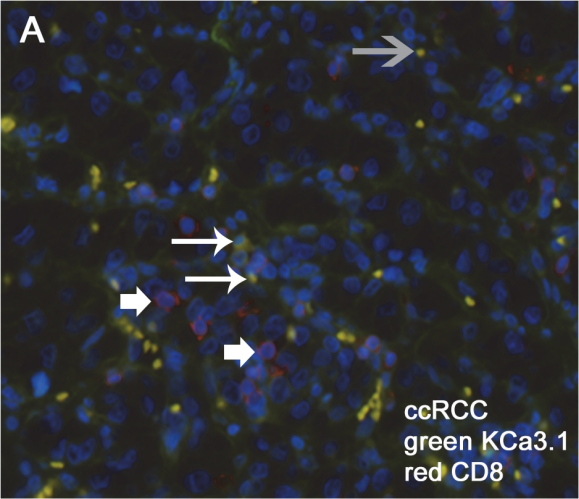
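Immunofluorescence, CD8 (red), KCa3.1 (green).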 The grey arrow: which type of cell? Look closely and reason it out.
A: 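Erythrocytes. The grey arrow points to a small bright yellow body. The body has no blue nucleus.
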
